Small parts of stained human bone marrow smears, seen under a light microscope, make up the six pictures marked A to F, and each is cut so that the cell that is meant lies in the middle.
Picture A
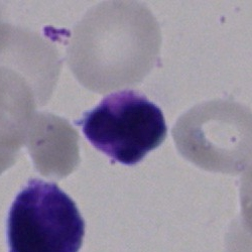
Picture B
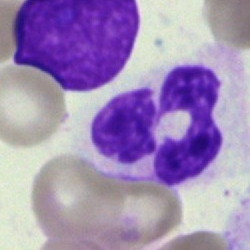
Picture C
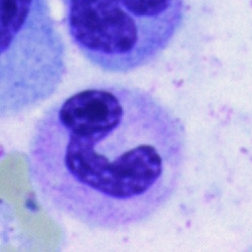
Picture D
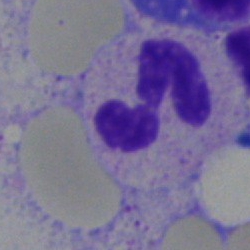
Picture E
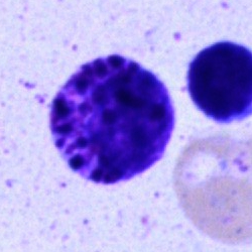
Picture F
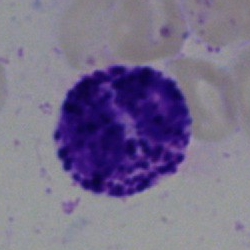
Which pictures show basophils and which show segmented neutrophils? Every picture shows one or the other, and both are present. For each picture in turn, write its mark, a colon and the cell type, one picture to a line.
A: segmented neutrophil
B: segmented neutrophil
C: segmented neutrophil
D: segmented neutrophil
E: basophil
F: basophil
